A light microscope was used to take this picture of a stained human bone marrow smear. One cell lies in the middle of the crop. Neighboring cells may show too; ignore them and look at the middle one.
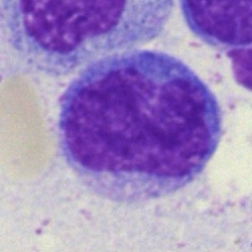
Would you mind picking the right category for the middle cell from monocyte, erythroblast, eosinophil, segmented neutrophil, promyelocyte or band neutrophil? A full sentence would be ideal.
The cell at the centre of the field is a monocyte.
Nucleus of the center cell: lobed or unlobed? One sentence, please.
The cell carries one compact nucleus shaped round, oval or like a kidney.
